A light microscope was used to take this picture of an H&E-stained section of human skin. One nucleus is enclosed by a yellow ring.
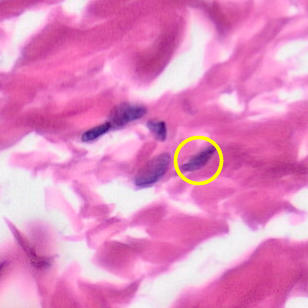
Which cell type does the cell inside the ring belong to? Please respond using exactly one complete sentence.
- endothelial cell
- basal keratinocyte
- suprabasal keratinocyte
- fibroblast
In this preparation, the cell inside the ring is a fibroblast.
